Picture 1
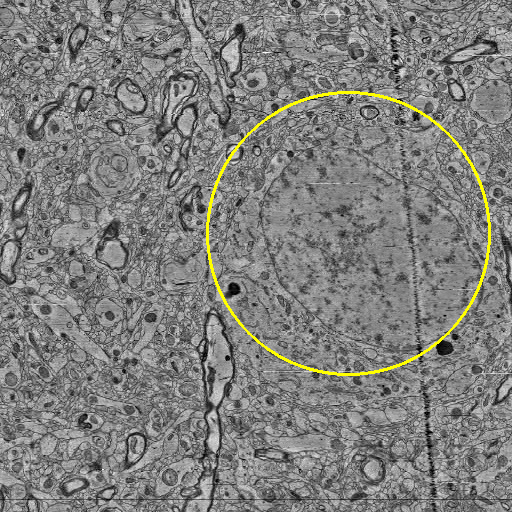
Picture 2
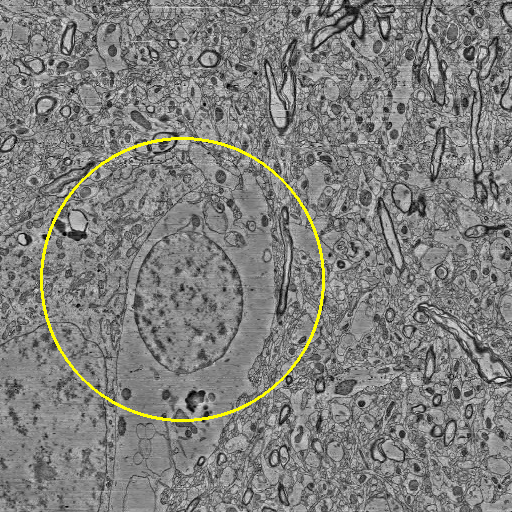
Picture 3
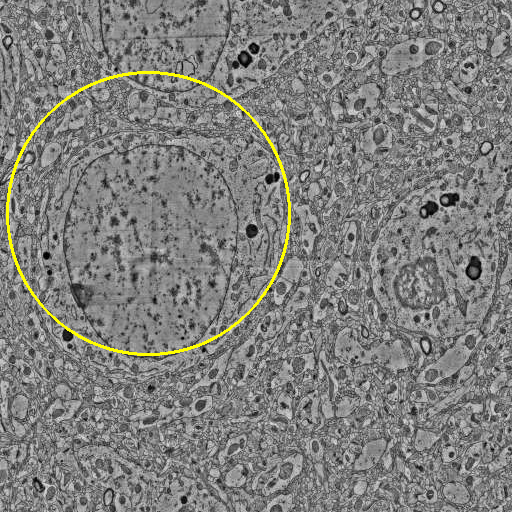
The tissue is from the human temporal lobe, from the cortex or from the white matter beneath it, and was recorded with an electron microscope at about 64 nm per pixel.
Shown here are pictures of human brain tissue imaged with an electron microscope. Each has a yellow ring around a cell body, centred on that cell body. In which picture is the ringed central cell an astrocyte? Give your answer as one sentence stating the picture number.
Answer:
My answer is picture 2, where the ringed cell at the centre is the one sought.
